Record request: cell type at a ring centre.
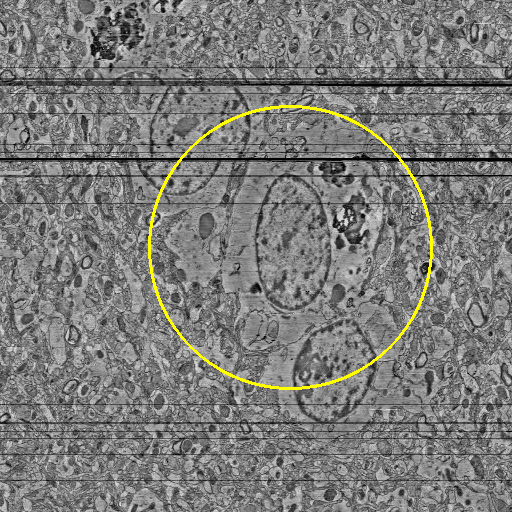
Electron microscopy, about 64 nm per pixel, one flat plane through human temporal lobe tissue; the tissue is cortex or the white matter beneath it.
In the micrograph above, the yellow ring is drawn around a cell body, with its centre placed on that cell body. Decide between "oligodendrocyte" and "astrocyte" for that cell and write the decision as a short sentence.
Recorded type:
The cell centred in the yellow ring is an astrocyte.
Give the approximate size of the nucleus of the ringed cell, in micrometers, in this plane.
In this plane, roughly 9 by 5 micrometres.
